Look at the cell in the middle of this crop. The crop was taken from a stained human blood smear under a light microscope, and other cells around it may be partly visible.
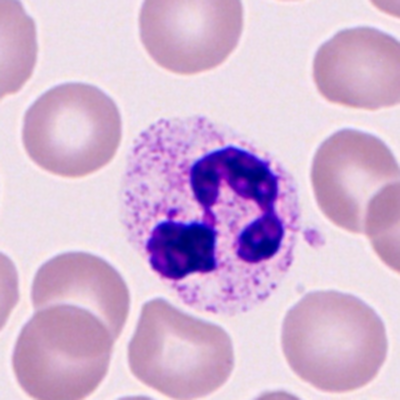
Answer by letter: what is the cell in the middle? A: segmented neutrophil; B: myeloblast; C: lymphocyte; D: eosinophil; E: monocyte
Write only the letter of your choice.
A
